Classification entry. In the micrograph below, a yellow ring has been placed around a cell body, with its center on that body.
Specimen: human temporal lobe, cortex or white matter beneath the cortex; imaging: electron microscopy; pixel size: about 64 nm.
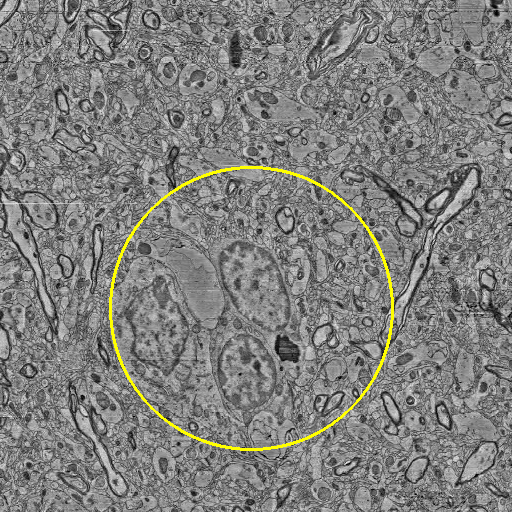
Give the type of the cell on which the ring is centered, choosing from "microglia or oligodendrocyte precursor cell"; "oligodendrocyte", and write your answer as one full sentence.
The cell body at the center of the yellow ring belongs to an oligodendrocyte.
